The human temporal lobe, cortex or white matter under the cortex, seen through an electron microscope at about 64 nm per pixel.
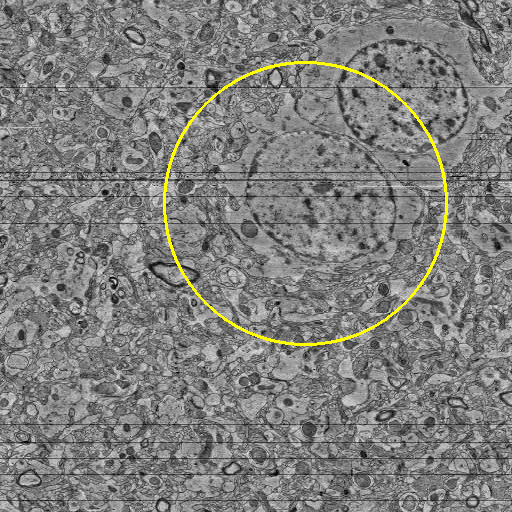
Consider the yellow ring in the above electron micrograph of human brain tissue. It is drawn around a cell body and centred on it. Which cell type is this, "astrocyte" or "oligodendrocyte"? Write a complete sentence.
The cell in question is an astrocyte.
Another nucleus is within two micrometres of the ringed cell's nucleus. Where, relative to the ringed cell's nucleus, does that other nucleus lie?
The second nucleus sits to the upper right of it.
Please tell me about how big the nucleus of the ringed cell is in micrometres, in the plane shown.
Approximately 10 by 8 micrometers in this plane.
